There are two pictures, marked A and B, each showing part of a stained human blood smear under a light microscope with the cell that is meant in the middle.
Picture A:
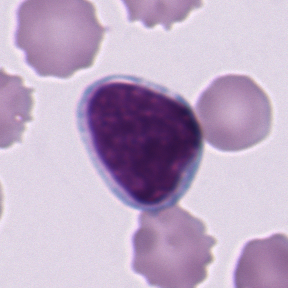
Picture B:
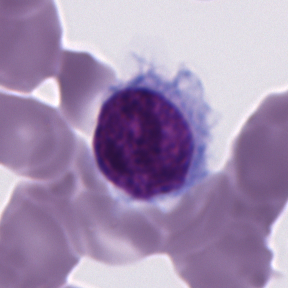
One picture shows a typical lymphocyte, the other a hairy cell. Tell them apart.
A: typical lymphocyte
B: hairy cell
